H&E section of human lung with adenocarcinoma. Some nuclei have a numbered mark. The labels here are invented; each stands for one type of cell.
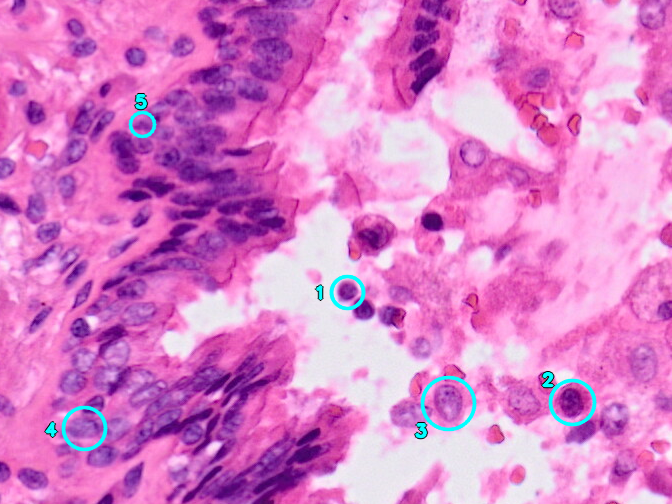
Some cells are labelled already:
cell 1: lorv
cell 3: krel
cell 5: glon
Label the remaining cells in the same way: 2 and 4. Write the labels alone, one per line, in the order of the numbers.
krel
glon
